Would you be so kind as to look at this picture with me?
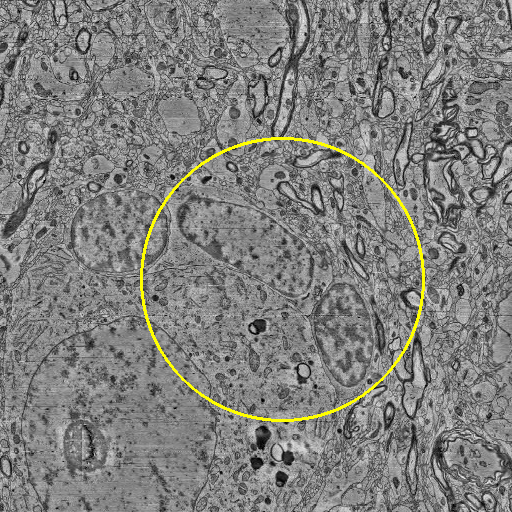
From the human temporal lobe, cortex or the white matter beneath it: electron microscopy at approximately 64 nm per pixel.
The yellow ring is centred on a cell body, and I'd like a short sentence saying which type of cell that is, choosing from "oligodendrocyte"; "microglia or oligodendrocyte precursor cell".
The cell body in the ring belongs to a microglial cell or oligodendrocyte precursor cell.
